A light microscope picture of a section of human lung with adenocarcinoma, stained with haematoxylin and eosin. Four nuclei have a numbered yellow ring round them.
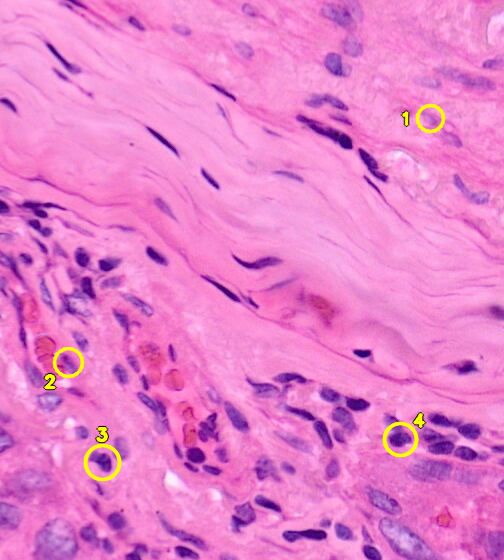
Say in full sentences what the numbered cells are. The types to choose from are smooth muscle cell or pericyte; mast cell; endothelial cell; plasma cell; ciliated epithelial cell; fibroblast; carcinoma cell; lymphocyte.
Cell 1 is a smooth muscle cell or pericyte, cell 2 is an endothelial cell, cell 3 is a lymphocyte and cell 4 is a lymphocyte.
